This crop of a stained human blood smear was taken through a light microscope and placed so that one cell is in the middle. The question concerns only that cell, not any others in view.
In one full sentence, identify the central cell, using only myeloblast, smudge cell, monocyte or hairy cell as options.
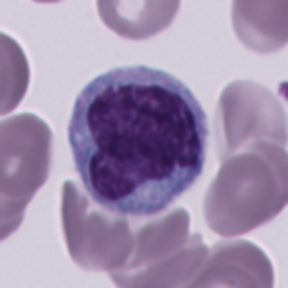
Answering briefly, the cell in the middle is a monocyte.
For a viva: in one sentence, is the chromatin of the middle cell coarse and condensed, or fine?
Thanks for asking; the chromatin is coarsely clumped.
